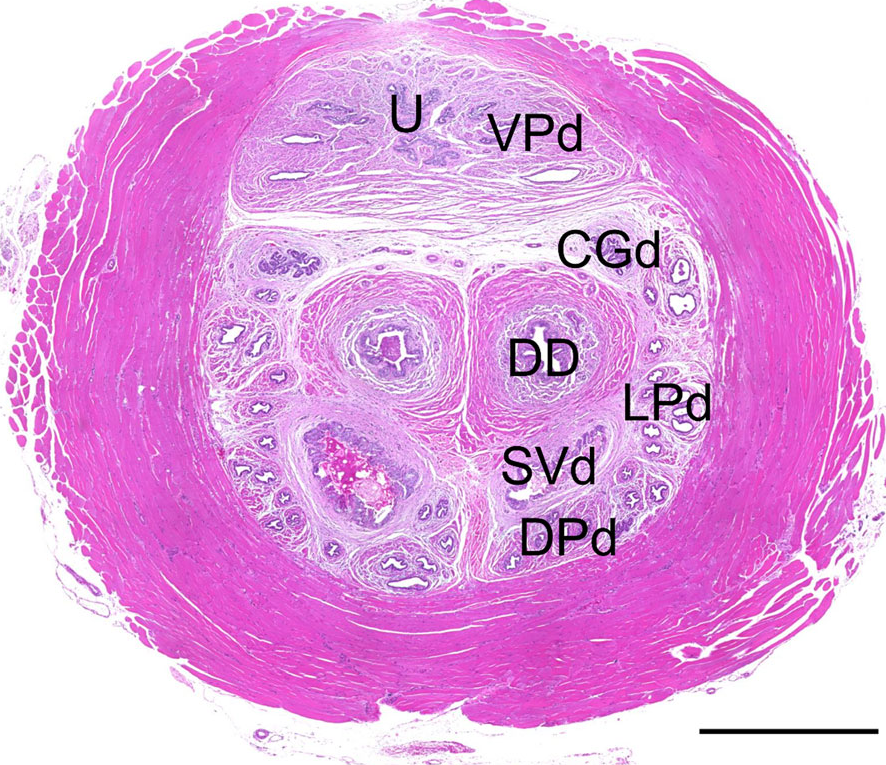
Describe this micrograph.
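This cross section of the proximal urethra shows a central cluster of periurethral ducts enclosed by a thick, evenly pink-staining ring of muscle. In the centre, two large ducts have thick, concentrically layered muscular walls around narrow, folded lumens lined by purple-staining epithelium. Around them lie many small ducts with purple epithelium and irregular lumens set in pale connective tissue, and one of these ducts holds red-pink contents in its lumen. Above, a band of connective tissue sets apart the region of the urethra, which contains several small, slit-like lumens.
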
